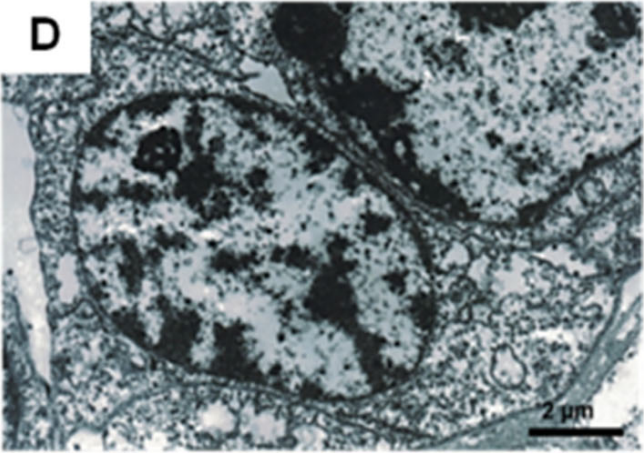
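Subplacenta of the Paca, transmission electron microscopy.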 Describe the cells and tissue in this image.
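One large oval nucleus fills much of the field, with irregular dark clumps of chromatin scattered through a paler nucleoplasm and along the nuclear envelope. A second nucleus with a dark chromatin mass lies next to it, separated by a narrow band of cytoplasm and closely apposed cell membranes. The surrounding cytoplasm is finely granular and contains small membrane-bound profiles. A narrow pale space is visible at the left margin between cells.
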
